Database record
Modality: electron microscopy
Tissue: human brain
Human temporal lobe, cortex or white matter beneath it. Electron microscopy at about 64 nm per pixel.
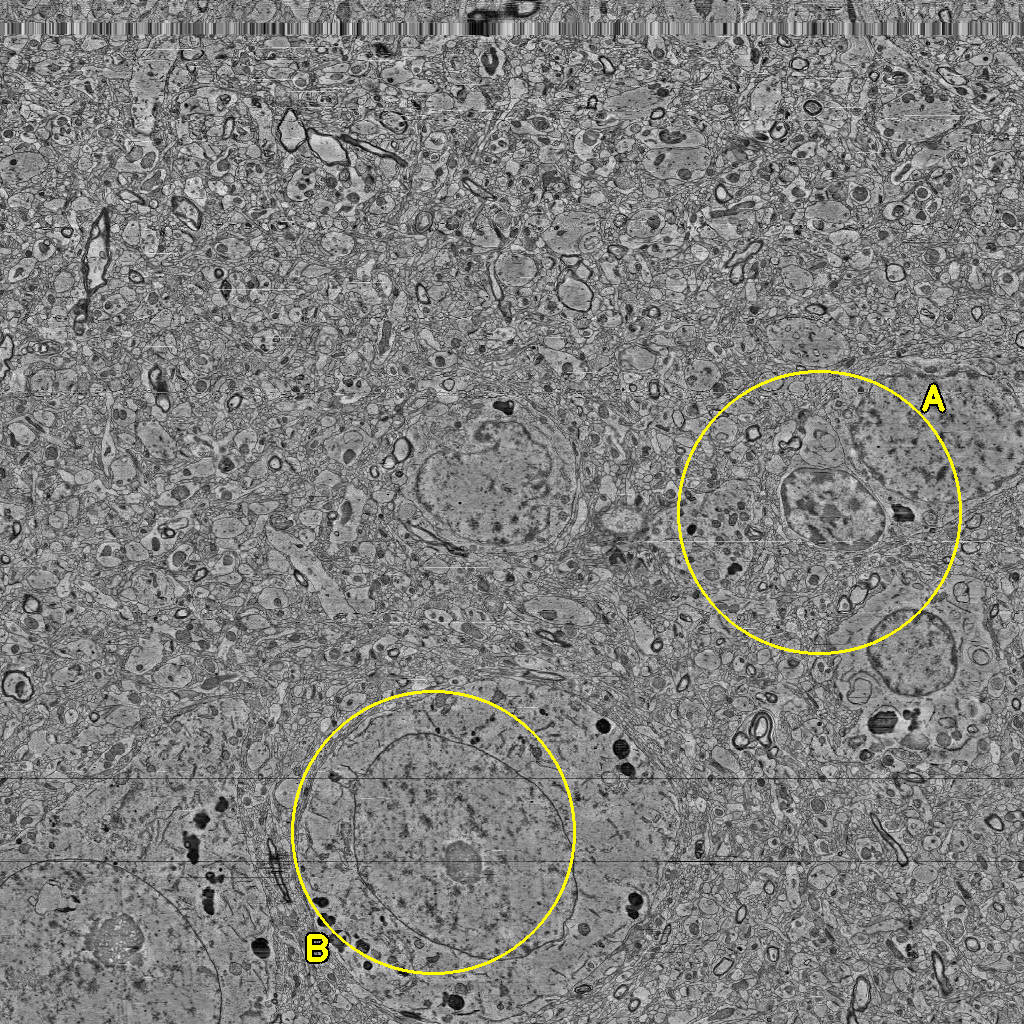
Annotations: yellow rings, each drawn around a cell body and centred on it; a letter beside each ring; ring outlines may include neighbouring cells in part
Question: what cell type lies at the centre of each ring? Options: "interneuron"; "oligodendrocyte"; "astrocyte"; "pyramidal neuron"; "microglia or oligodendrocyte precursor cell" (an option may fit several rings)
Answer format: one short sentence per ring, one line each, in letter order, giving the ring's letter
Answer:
Ring A corresponds to a microglial cell or oligodendrocyte precursor cell.
Ring B corresponds to a pyramidal neuron.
